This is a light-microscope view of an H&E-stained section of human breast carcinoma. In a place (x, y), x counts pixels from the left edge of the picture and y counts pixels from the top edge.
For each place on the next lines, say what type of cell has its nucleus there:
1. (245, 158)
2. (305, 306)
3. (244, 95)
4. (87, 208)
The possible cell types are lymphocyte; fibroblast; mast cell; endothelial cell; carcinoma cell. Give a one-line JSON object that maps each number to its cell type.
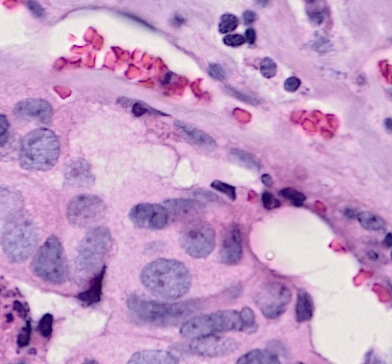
{"1": "endothelial cell", "2": "carcinoma cell", "3": "endothelial cell", "4": "carcinoma cell"}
